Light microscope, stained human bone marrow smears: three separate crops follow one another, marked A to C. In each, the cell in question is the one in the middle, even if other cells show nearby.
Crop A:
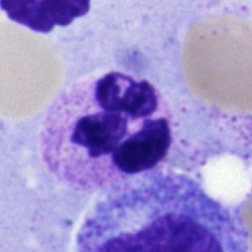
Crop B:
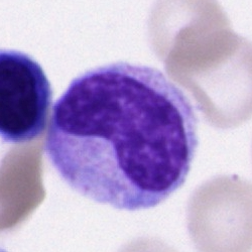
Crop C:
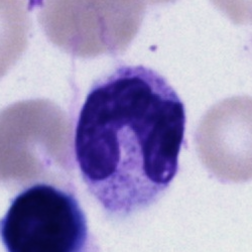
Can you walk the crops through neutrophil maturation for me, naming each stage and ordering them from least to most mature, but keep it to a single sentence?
Placed in order of rising maturity, the crops stand as crop B (a metamyelocyte), crop C (a band neutrophil) and crop A (a segmented neutrophil).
